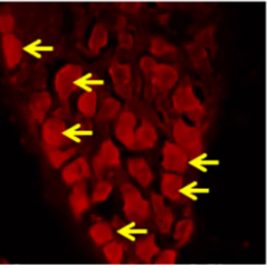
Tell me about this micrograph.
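A compact mass of large, rounded to polygonal cell bodies fills most of the field, packed side by side with little space between them. The cell bodies vary in size, and many are evenly filled with red label while others are fainter, giving a mosaic of bright and dim profiles. Some profiles show a darker, unlabelled round centre that is likely the nucleus. Toward the left edge the tissue is darker and contains few cell bodies.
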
